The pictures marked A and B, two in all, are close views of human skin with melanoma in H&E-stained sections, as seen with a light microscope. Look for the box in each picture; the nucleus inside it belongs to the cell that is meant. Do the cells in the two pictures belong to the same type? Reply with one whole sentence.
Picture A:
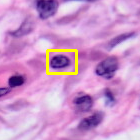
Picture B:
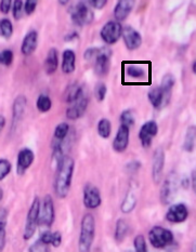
No, picture A shows a plasma cell and picture B shows a lymphocyte.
